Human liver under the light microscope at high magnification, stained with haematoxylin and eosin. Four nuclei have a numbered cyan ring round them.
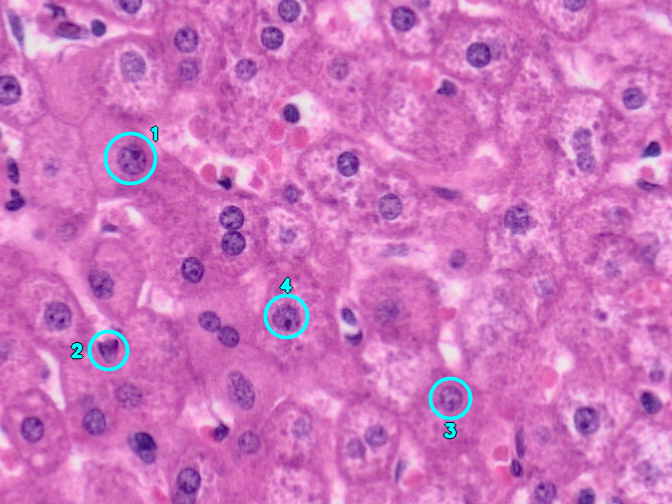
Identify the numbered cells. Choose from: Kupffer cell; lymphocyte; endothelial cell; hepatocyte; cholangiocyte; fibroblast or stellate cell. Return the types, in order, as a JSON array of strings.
["hepatocyte", "endothelial cell", "hepatocyte", "hepatocyte"]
